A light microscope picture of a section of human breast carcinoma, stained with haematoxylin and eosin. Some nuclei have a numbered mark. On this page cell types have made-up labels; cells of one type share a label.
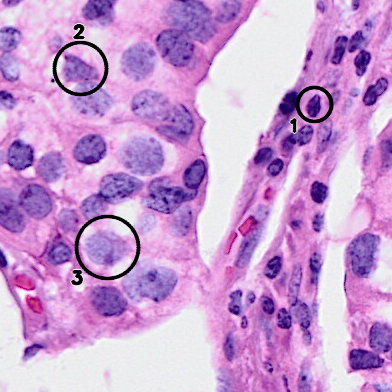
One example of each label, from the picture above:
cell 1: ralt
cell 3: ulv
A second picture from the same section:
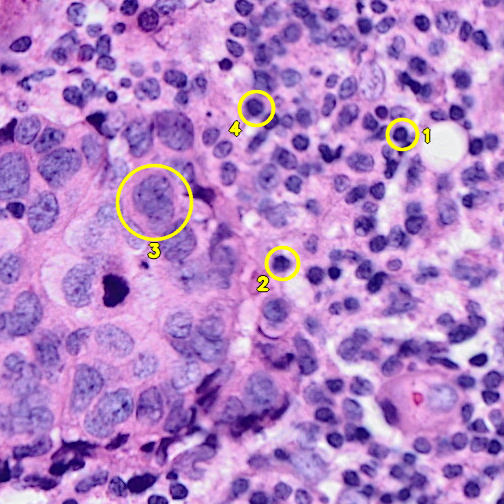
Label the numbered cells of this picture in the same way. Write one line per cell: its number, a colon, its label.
1: ralt
2: ralt
3: ulv
4: ralt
